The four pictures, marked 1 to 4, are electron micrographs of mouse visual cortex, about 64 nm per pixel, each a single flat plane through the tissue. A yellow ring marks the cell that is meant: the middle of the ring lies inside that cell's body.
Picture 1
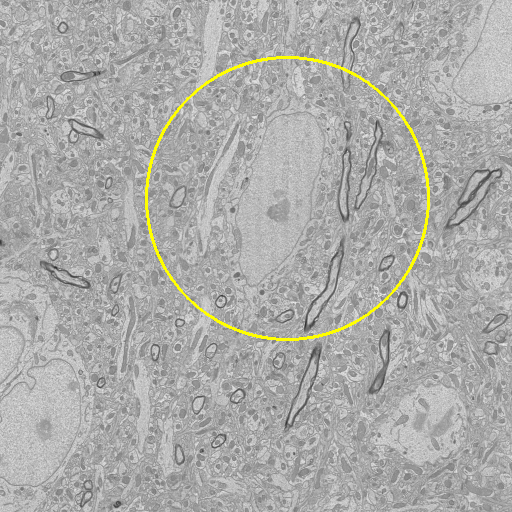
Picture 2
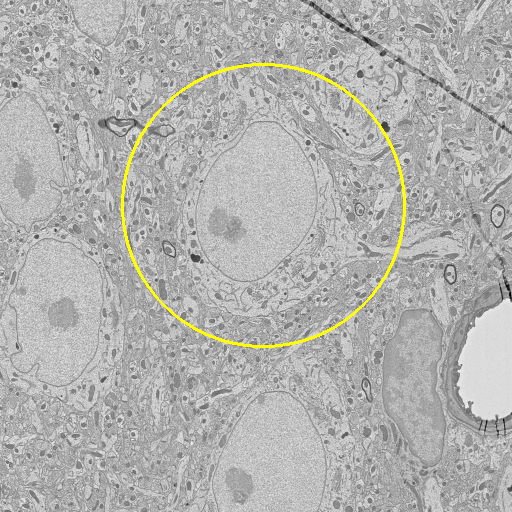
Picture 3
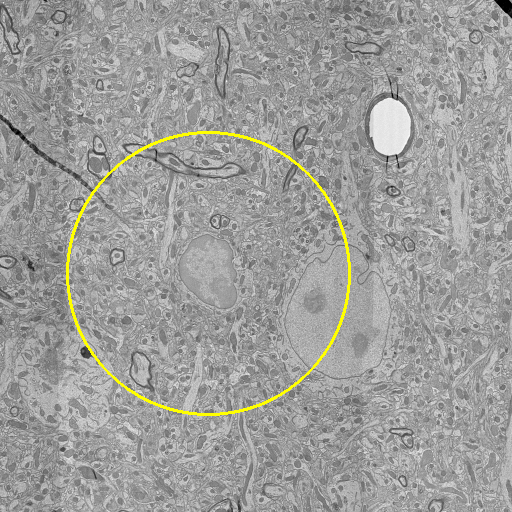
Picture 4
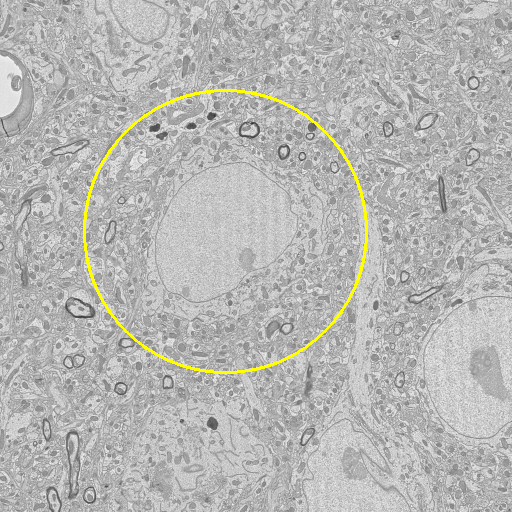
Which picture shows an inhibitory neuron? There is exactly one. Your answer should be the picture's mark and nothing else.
1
